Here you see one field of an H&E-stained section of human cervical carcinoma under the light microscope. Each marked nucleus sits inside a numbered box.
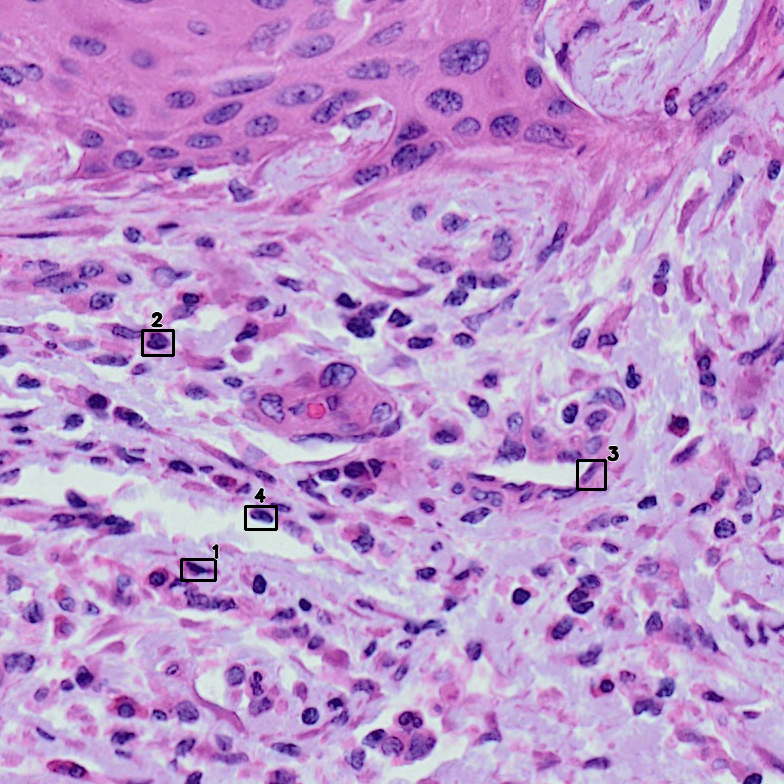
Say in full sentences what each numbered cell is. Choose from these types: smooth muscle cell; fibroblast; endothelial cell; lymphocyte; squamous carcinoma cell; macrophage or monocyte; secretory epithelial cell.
Cell 1 is a lymphocyte, cell 2 is a lymphocyte, cell 3 is an endothelial cell and cell 4 is a lymphocyte.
